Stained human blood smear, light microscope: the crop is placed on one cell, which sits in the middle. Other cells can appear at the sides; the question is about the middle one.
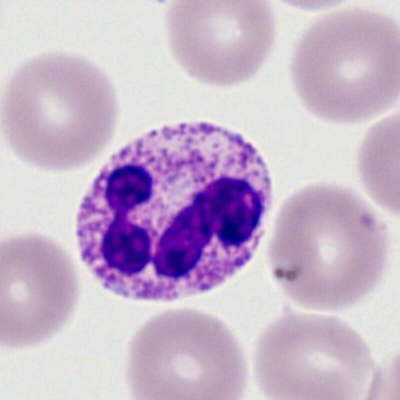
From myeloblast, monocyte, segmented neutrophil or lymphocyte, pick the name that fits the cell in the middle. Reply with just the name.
segmented neutrophil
